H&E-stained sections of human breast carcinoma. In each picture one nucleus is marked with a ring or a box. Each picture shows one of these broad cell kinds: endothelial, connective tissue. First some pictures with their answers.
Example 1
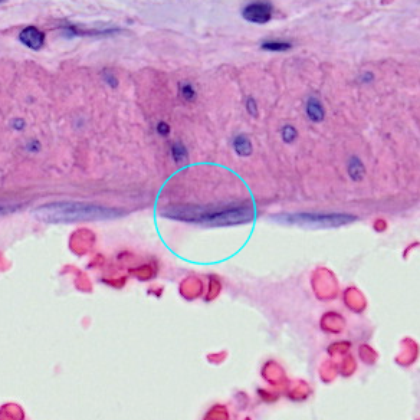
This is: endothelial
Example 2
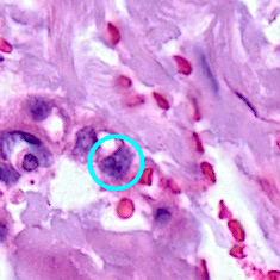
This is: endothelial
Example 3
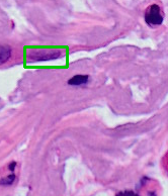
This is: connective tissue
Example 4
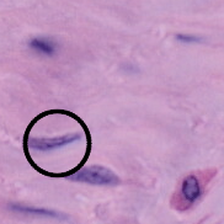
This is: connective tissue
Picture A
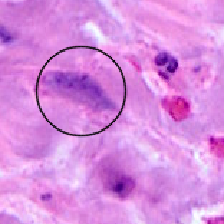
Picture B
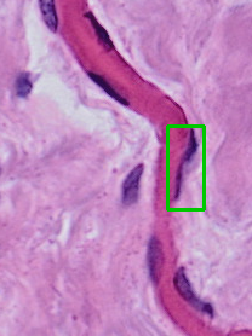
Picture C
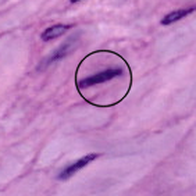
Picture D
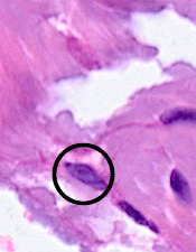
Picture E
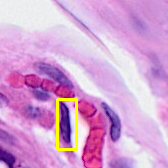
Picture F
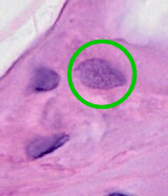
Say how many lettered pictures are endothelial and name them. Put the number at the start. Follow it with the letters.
2: B, E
